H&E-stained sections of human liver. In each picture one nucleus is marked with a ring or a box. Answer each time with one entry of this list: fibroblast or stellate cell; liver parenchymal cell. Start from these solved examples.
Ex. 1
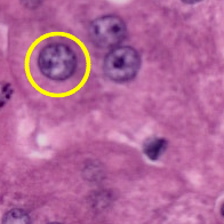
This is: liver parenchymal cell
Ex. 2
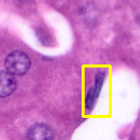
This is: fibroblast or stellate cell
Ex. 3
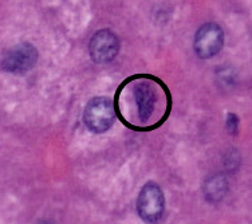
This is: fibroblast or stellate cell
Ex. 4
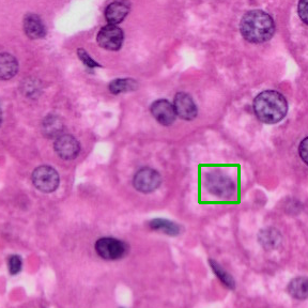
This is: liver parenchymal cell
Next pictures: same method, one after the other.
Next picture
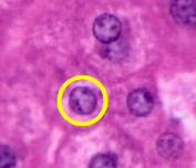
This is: liver parenchymal cell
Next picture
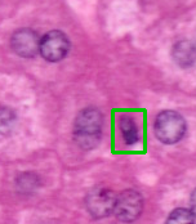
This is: fibroblast or stellate cell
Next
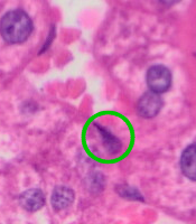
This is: fibroblast or stellate cell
